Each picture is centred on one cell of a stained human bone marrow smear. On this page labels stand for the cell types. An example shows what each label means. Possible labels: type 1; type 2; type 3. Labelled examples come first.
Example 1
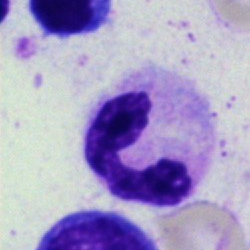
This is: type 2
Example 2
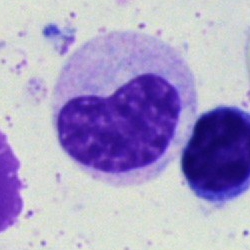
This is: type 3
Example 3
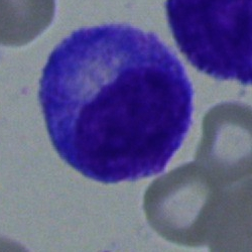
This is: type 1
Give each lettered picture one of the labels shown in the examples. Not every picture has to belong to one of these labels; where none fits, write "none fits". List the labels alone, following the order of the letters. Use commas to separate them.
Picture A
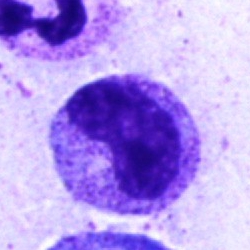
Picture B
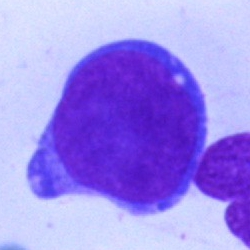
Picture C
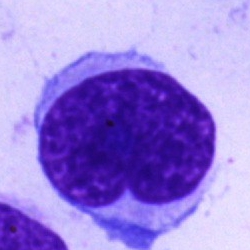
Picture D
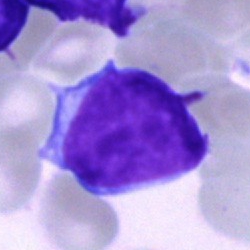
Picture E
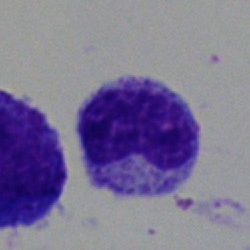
type 3, none fits, none fits, none fits, type 3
